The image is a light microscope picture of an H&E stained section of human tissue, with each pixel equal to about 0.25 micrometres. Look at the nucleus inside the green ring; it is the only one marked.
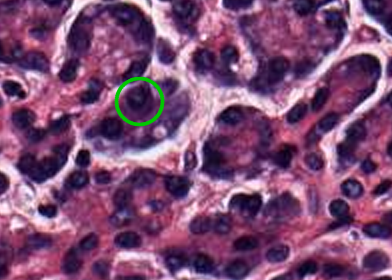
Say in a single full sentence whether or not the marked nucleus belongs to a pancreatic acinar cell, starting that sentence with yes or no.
Yes, the cell to which the marked nucleus belongs is a pancreatic acinar cell.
